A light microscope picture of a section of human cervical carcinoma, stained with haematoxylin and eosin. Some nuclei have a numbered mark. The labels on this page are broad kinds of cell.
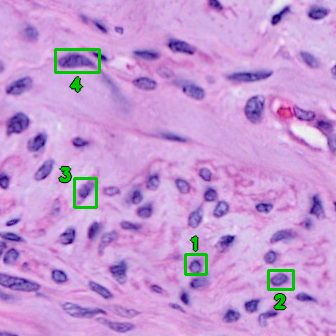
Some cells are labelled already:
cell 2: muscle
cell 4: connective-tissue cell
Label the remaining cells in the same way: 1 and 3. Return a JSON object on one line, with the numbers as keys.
{"1": "muscle", "3": "muscle"}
